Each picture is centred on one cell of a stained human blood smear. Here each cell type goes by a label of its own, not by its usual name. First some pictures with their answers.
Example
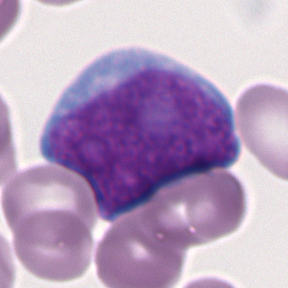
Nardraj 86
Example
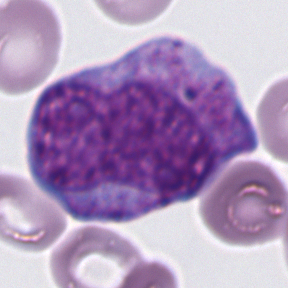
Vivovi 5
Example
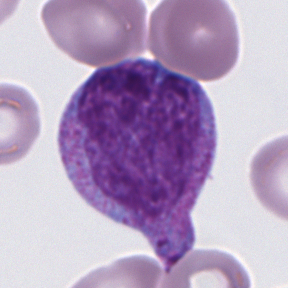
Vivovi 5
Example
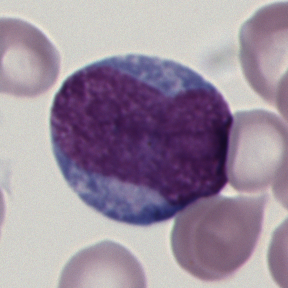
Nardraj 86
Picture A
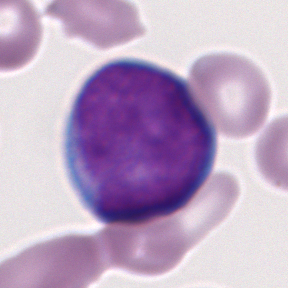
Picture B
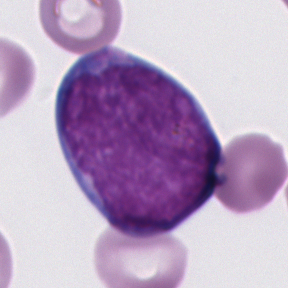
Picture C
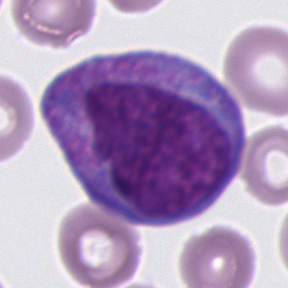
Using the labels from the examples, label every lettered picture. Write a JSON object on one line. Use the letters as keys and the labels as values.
{"A": "Nardraj 86", "B": "Nardraj 86", "C": "Vivovi 5"}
